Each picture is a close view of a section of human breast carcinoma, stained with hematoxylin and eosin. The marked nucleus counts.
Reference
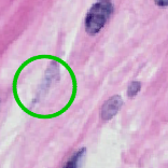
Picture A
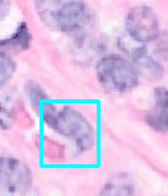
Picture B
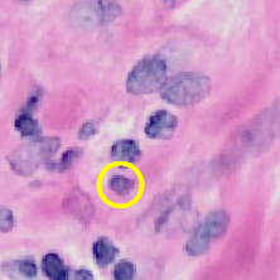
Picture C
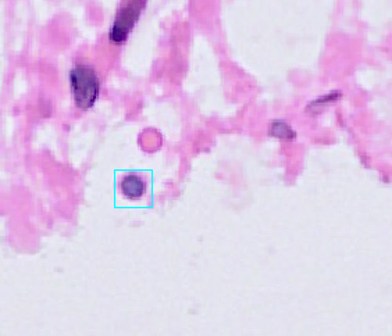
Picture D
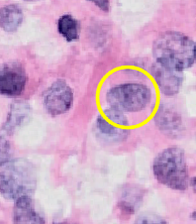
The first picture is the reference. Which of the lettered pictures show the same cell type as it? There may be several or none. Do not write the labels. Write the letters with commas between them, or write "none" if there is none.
none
